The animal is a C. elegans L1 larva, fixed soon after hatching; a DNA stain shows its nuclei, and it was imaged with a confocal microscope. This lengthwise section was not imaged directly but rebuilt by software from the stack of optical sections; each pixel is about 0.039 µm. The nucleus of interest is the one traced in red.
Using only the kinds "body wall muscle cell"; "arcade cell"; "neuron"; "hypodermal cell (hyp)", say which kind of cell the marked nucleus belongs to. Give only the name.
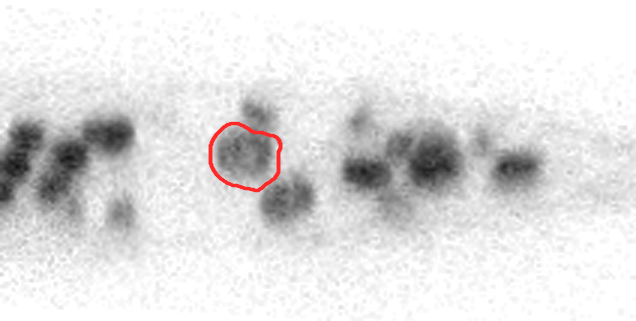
hypodermal cell (hyp)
